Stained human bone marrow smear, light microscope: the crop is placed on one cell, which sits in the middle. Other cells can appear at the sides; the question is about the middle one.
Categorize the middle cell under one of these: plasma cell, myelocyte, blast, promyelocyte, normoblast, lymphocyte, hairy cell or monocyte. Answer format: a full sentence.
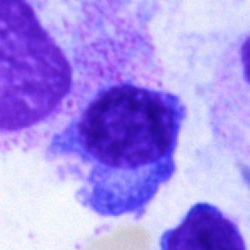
Within this crop, a plasma cell occupies the central position.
